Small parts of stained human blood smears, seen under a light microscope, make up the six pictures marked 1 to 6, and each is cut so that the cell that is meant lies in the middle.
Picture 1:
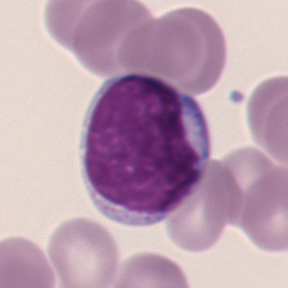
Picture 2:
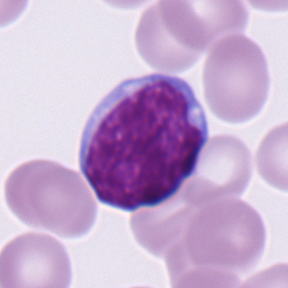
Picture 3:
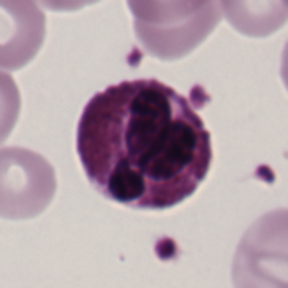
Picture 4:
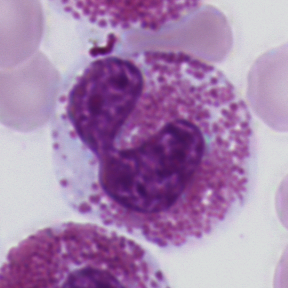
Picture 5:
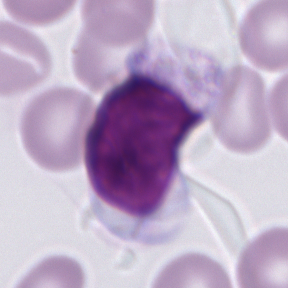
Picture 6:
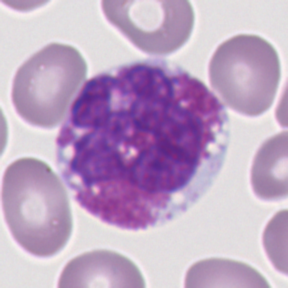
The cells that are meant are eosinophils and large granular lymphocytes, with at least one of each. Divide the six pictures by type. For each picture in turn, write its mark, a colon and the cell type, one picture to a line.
1: large granular lymphocyte
2: large granular lymphocyte
3: eosinophil
4: eosinophil
5: large granular lymphocyte
6: eosinophil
